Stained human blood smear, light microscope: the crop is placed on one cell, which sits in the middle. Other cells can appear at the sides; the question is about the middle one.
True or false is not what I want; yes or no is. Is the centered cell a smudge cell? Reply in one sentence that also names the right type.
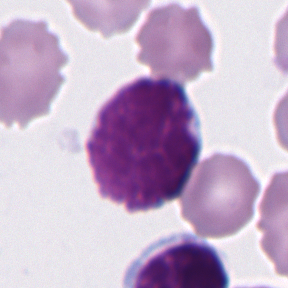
Yes, the middle cell is classified as a smudge cell.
